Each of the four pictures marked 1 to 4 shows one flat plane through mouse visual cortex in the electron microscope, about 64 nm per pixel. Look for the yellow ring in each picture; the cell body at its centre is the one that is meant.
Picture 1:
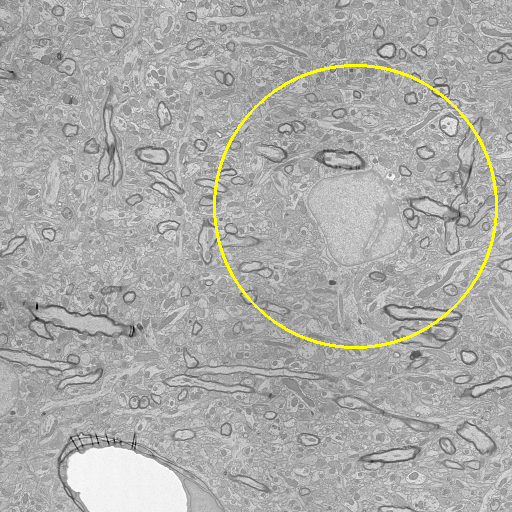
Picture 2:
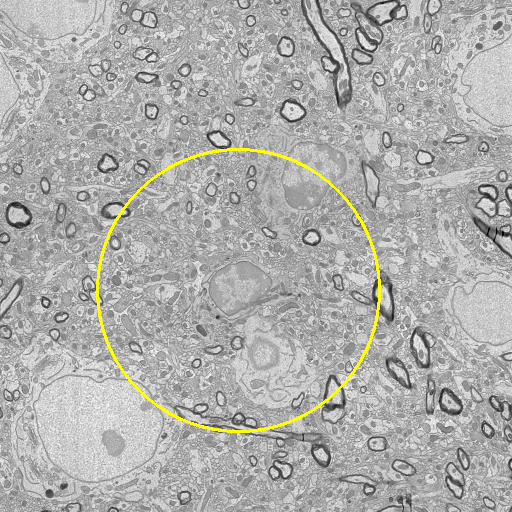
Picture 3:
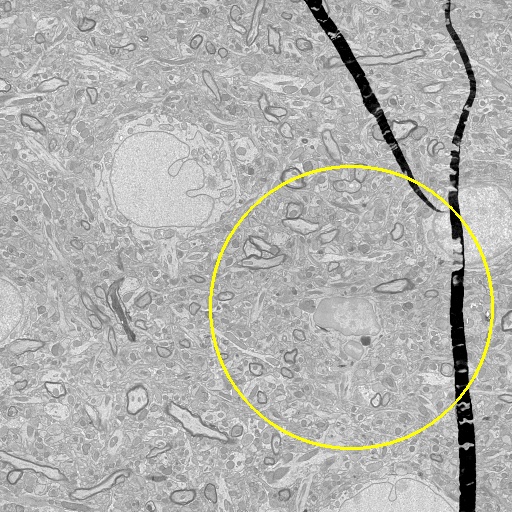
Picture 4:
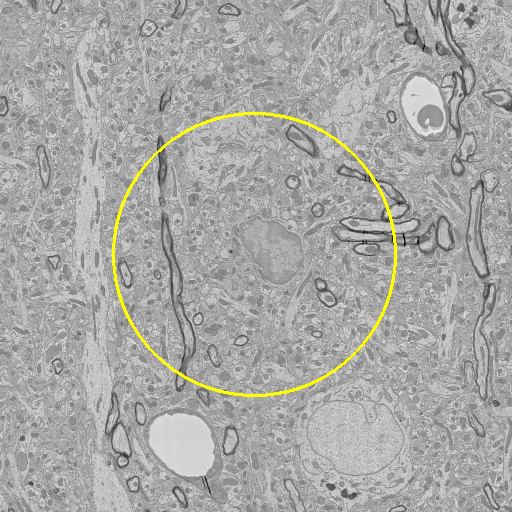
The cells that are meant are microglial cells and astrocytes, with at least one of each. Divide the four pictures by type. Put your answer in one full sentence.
Pictures 2, 3 and 4 show microglial cells, and picture 1 shows an astrocyte.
